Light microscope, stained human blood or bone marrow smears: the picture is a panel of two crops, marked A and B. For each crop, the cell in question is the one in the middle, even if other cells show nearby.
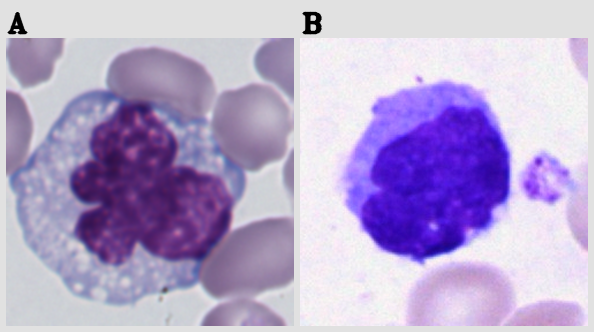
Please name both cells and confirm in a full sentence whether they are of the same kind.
Yes, at the centre of both crops are monocytes.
